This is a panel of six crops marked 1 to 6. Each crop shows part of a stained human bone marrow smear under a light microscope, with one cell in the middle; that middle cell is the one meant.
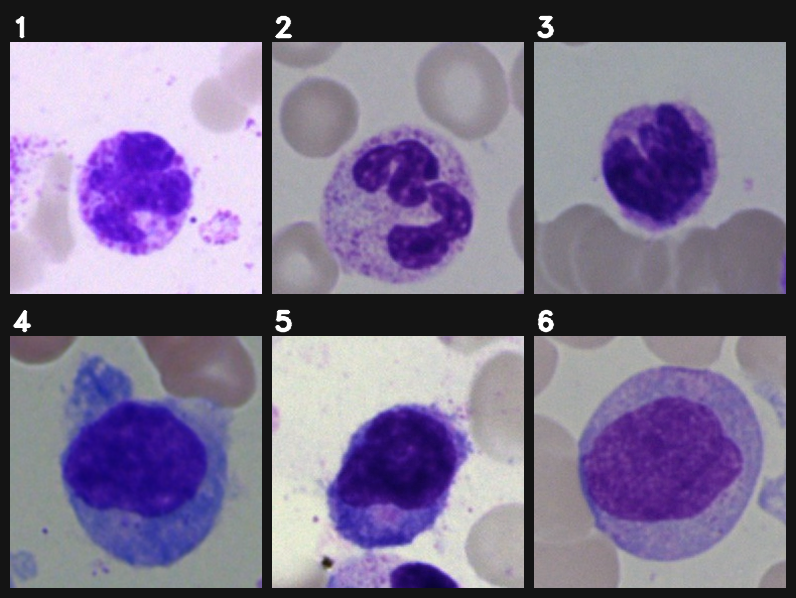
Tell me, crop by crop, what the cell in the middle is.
1: basophil
2: neutrophil
3: basophil
4: monocyte
5: monocyte
6: monocyte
